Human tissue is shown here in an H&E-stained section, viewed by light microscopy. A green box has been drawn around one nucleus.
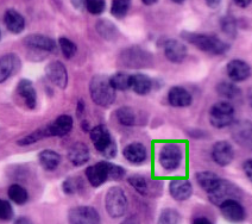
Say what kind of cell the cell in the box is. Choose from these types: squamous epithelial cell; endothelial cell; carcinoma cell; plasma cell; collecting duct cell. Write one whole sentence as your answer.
In this tissue section, the cell in the box is to be classed as a plasma cell.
